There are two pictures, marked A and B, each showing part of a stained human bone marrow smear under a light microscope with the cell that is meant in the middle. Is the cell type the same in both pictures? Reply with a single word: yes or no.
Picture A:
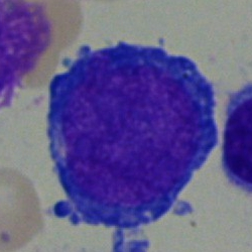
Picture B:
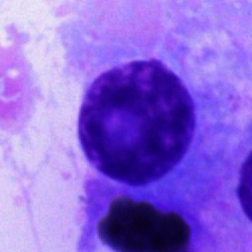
no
